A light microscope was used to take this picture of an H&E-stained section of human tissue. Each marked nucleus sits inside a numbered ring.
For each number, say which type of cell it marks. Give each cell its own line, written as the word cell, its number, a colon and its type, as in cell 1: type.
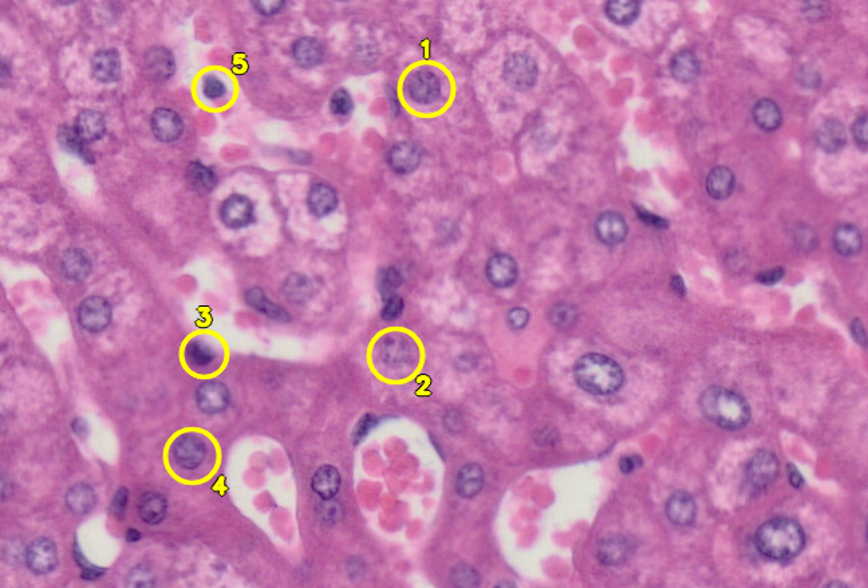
cell 1: hepatocyte
cell 2: hepatocyte
cell 3: fibroblast or stellate cell
cell 4: hepatocyte
cell 5: lymphocyte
